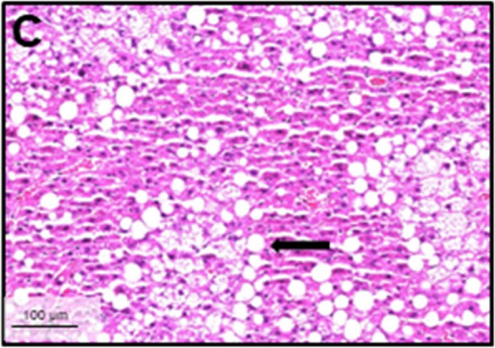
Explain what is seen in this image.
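This is liver tissue with pink hepatocytes arranged in cords, their purple nuclei visible among deeply stained cytoplasm. Some areas show patches of paler, finely vacuolated cytoplasm. Compared with normal liver, the tissue is interrupted by these empty round spaces.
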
